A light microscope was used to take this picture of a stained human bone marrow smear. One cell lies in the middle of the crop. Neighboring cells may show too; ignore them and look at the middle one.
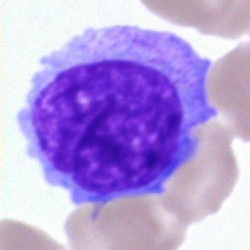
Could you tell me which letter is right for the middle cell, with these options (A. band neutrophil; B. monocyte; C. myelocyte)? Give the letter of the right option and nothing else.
B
